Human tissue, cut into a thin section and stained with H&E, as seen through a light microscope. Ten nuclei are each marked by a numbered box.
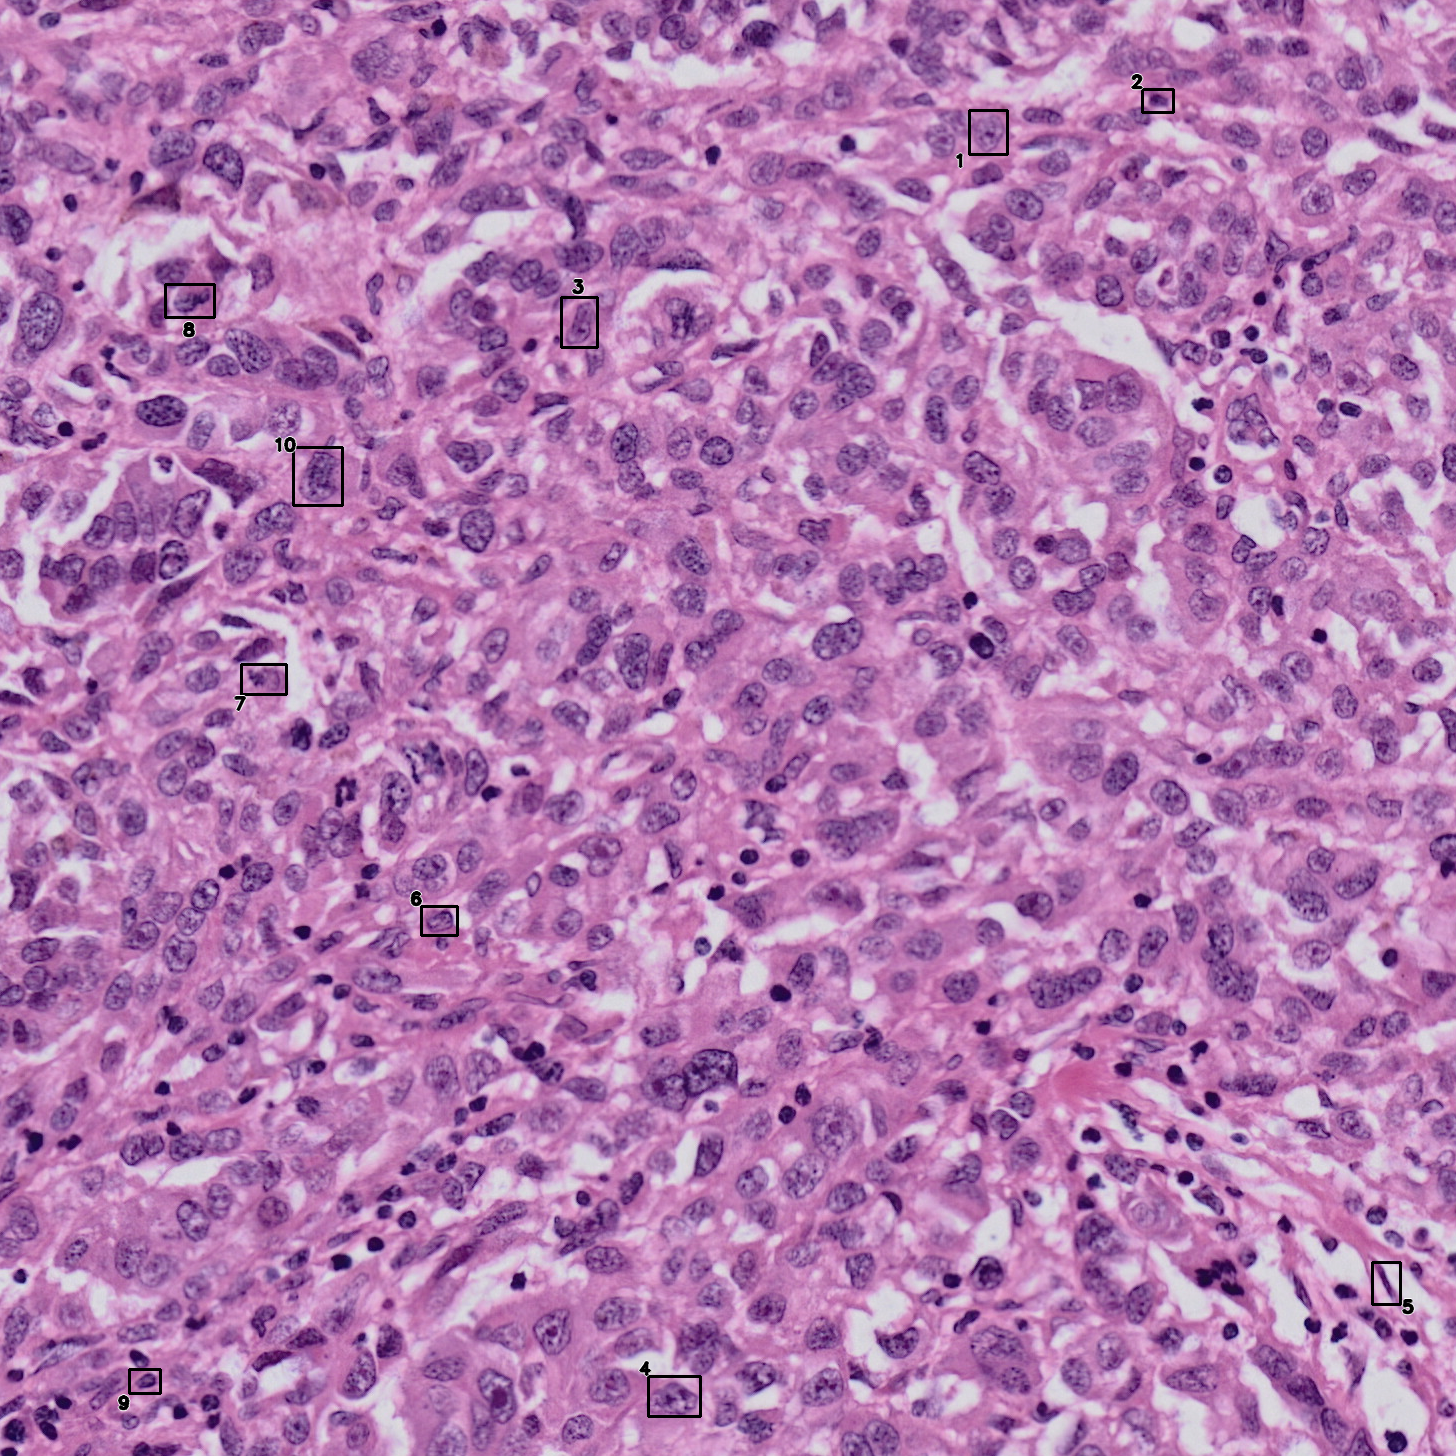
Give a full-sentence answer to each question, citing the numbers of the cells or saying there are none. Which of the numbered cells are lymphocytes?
Cells that were given the numbers 2 and 9 are lymphocytes.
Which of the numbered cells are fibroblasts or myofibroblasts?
Only at number 5 is there a fibroblast or myofibroblast among the marked cells.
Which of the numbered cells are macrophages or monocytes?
Only the nucleus marked 6 is that of a macrophage or monocyte.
